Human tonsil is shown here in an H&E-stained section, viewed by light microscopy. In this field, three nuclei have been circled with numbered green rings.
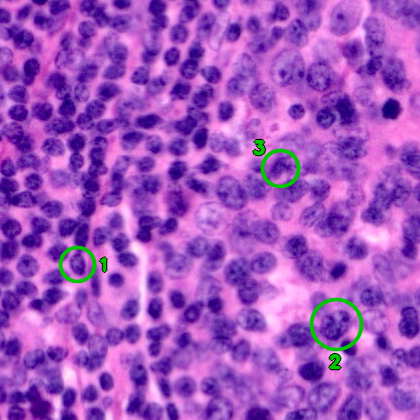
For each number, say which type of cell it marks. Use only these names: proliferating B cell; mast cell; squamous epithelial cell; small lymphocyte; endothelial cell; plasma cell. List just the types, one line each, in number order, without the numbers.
small lymphocyte
proliferating B cell
proliferating B cell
